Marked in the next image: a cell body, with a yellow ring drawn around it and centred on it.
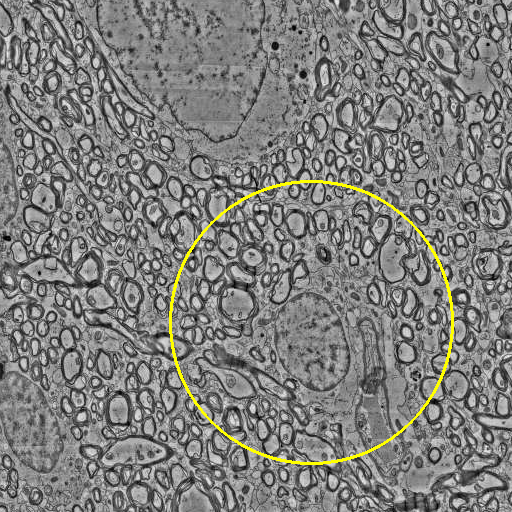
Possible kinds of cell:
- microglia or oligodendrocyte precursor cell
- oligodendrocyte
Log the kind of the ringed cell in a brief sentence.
The ringed cell body is that of a microglial cell or oligodendrocyte precursor cell.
